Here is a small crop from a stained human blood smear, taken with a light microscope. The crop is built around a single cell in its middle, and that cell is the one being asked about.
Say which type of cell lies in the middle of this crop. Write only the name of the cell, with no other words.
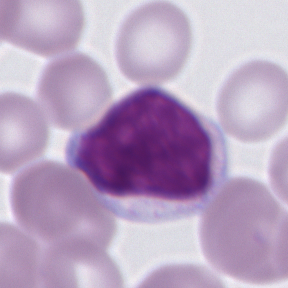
large granular lymphocyte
